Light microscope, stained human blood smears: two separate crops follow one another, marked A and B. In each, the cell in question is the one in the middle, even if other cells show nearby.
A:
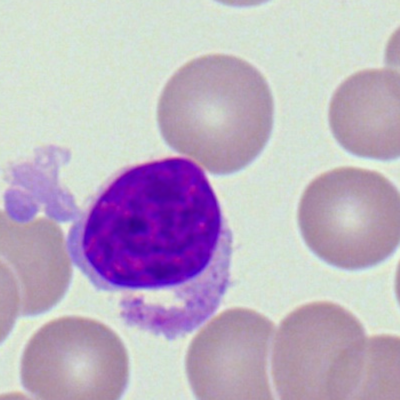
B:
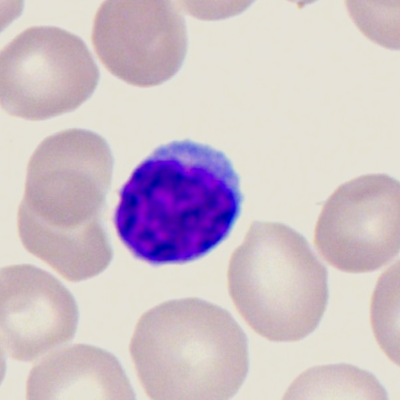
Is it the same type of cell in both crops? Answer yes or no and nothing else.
yes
